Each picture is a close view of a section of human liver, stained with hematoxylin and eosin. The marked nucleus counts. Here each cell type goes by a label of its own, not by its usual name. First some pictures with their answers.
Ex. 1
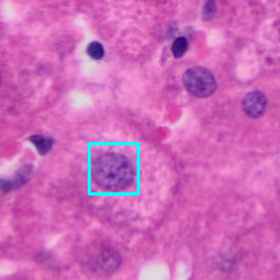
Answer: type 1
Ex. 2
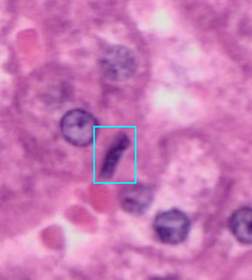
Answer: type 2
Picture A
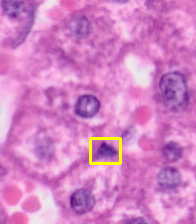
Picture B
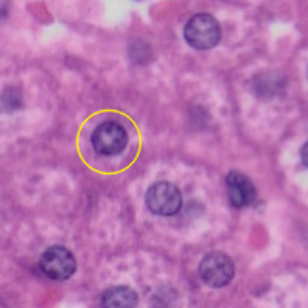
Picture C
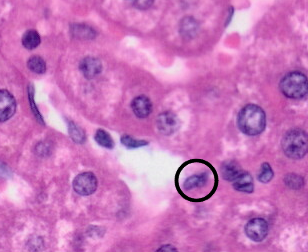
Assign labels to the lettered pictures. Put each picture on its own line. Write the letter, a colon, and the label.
A: type 2
B: type 1
C: type 2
